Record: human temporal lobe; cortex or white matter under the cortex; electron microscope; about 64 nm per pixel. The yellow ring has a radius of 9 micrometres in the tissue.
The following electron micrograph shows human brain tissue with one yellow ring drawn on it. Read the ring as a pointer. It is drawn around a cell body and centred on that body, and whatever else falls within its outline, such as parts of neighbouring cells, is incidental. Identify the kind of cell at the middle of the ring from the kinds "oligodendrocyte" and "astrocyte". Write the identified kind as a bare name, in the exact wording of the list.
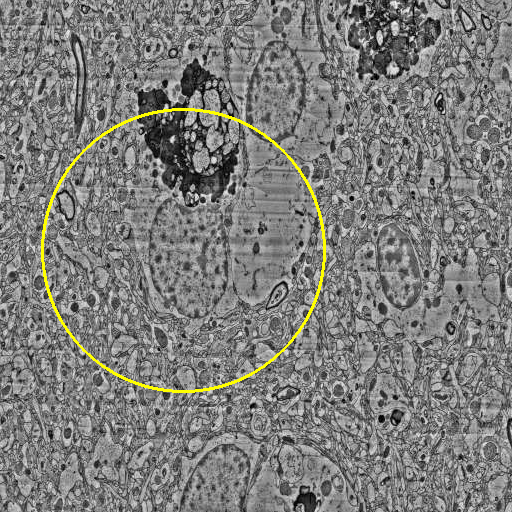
astrocyte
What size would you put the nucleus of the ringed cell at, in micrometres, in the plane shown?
The nucleus has a long axis of about 8 micrometres and a short axis of about 5 micrometres in this plane.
